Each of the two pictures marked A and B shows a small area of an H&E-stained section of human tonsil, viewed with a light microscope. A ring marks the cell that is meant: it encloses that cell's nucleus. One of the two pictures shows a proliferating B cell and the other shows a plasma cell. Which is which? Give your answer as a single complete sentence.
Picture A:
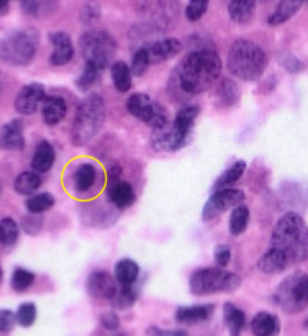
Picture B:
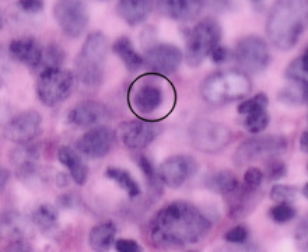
In picture A the cell is a plasma cell; in picture B, a proliferating B cell.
